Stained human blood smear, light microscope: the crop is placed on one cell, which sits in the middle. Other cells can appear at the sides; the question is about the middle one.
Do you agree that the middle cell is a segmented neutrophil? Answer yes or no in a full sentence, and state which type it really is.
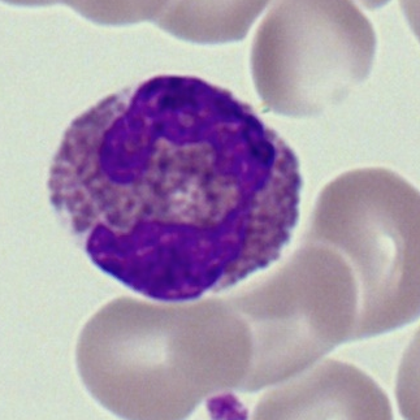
No, the middle of the crop holds an eosinophil, not a segmented neutrophil.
